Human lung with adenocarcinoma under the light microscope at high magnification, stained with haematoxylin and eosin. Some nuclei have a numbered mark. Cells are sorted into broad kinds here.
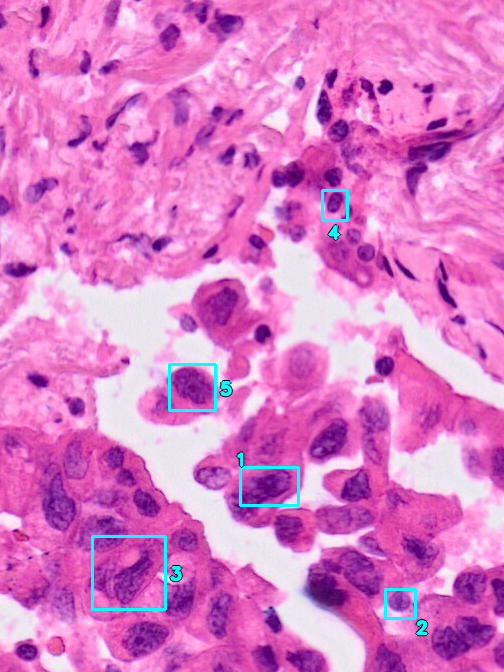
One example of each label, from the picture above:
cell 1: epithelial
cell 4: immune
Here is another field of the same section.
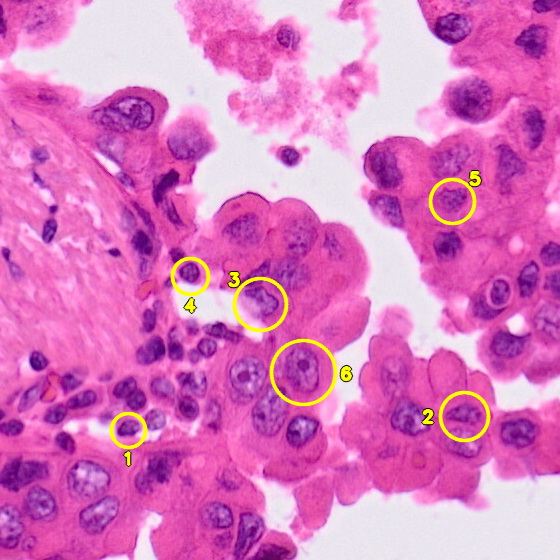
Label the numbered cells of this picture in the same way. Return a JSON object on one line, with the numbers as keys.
{"1": "immune", "2": "epithelial", "3": "epithelial", "4": "immune", "5": "epithelial", "6": "epithelial"}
